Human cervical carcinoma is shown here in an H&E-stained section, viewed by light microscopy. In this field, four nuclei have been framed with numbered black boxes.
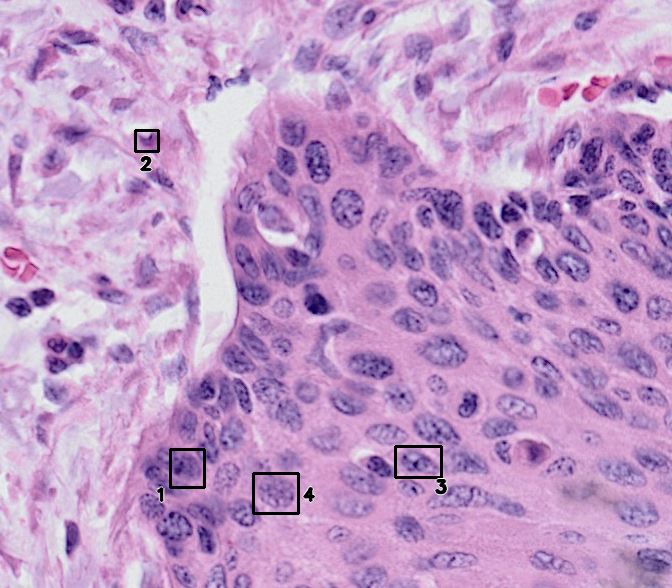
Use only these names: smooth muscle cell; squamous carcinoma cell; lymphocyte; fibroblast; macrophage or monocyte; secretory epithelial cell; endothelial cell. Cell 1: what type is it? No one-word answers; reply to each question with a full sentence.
Recognised here as a squamous carcinoma cell is the cell numbered 1.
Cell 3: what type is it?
Denoted by the label 3 in the section is a squamous carcinoma cell.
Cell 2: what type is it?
In this section, the cell tagged 2 is a fibroblast.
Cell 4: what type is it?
Of the numbered cells, the one labelled 4 is a squamous carcinoma cell.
